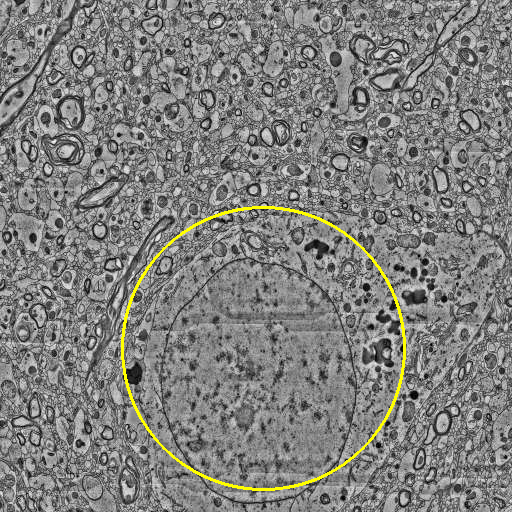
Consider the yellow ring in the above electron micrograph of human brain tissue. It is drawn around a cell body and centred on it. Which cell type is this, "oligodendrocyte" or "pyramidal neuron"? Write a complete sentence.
The cell in question is a pyramidal neuron.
